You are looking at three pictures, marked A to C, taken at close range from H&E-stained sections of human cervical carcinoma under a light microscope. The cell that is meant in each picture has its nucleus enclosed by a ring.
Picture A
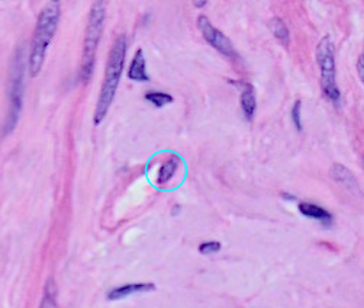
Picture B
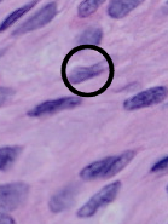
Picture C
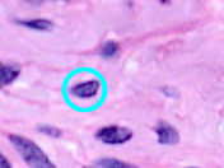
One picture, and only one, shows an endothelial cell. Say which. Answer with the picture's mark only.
A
